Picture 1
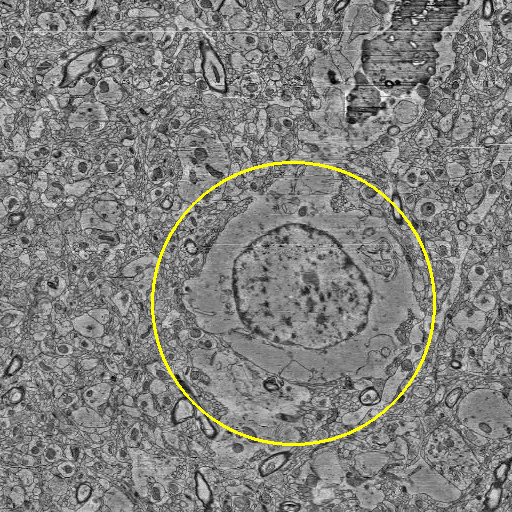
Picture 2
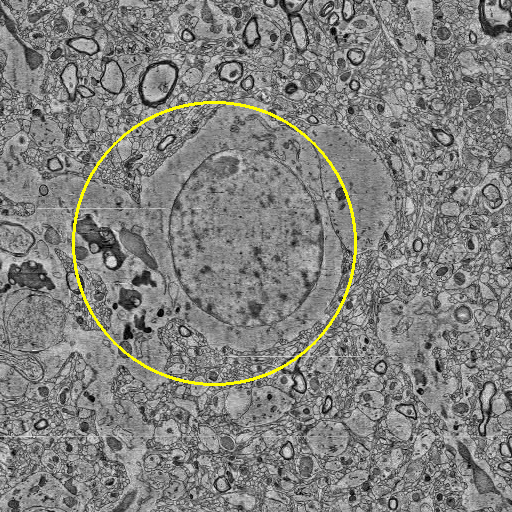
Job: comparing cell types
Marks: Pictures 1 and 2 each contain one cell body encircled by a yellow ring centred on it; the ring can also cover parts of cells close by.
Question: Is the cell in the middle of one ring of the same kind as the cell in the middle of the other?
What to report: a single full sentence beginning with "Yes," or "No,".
Yes, the cell at the ring centre in Picture 1 and its partner in Picture 2 are of one kind.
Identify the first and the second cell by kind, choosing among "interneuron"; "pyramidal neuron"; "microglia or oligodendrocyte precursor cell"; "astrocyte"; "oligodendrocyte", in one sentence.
Each cell, in the first picture and the second, is an astrocyte.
